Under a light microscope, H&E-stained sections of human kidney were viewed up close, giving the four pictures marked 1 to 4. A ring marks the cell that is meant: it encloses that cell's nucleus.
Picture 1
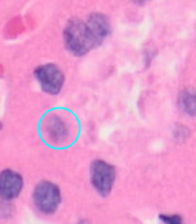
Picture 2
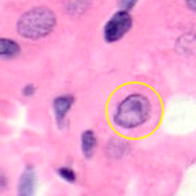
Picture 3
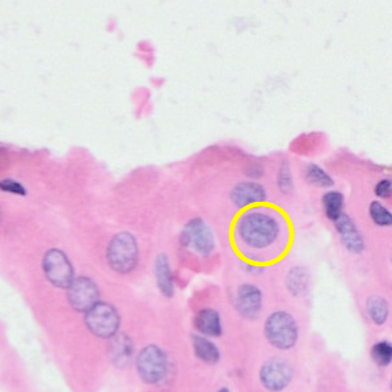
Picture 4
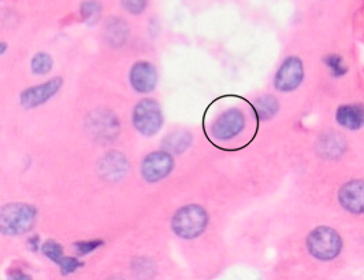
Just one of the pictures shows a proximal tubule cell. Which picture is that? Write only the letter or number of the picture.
2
